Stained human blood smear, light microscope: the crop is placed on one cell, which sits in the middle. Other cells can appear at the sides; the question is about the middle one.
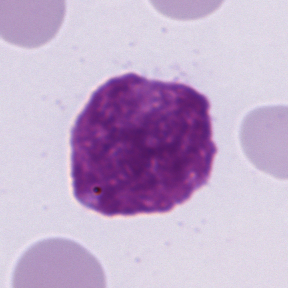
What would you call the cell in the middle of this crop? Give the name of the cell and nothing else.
smudge cell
